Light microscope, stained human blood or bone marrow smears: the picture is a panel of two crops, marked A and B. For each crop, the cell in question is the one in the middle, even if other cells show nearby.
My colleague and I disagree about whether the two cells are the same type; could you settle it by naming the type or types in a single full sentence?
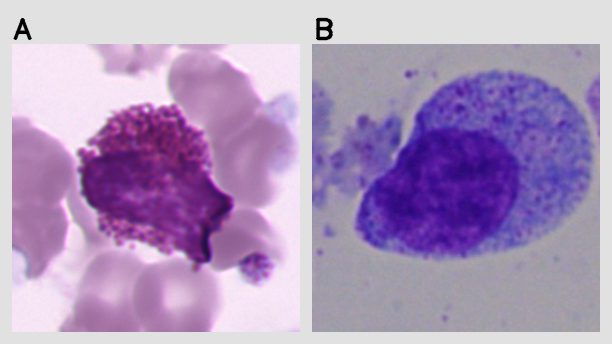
No, an eosinophil is what occupies crop A, and a promyelocyte is what occupies crop B.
